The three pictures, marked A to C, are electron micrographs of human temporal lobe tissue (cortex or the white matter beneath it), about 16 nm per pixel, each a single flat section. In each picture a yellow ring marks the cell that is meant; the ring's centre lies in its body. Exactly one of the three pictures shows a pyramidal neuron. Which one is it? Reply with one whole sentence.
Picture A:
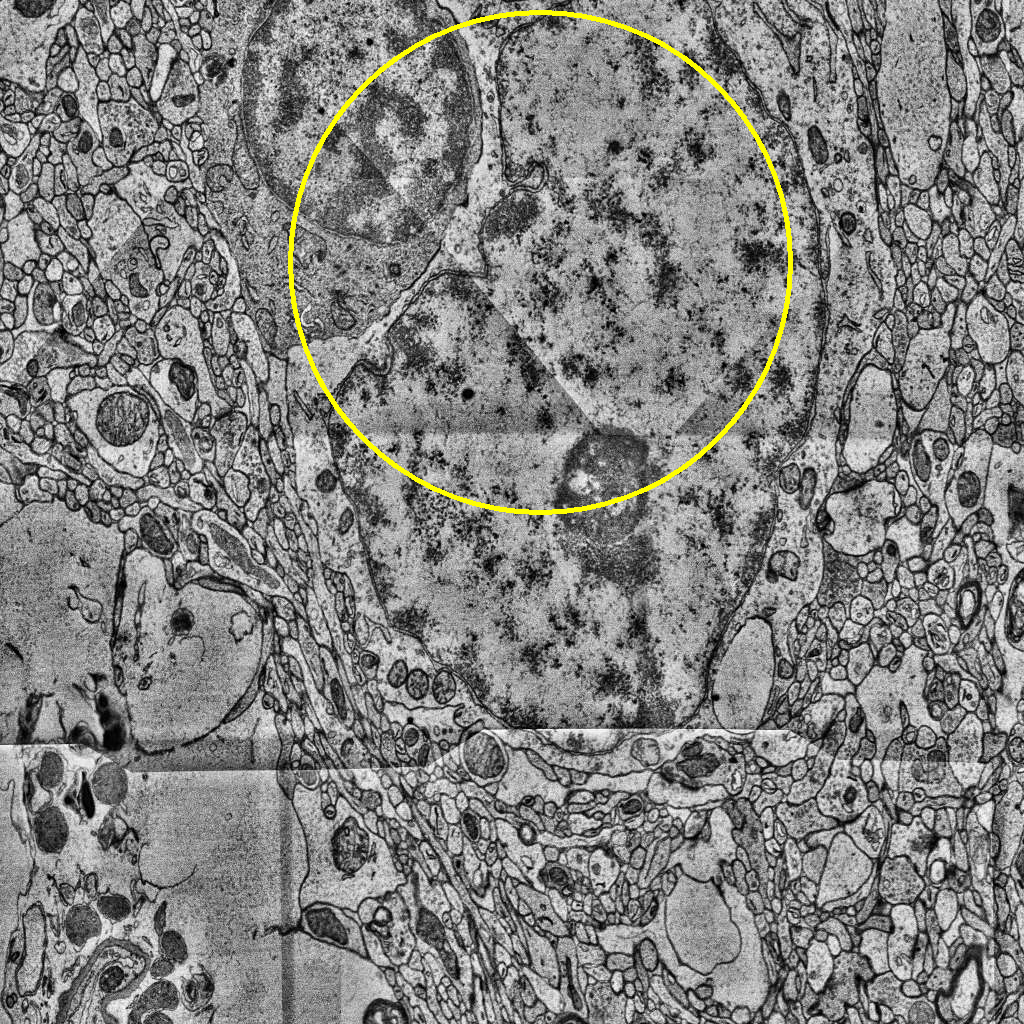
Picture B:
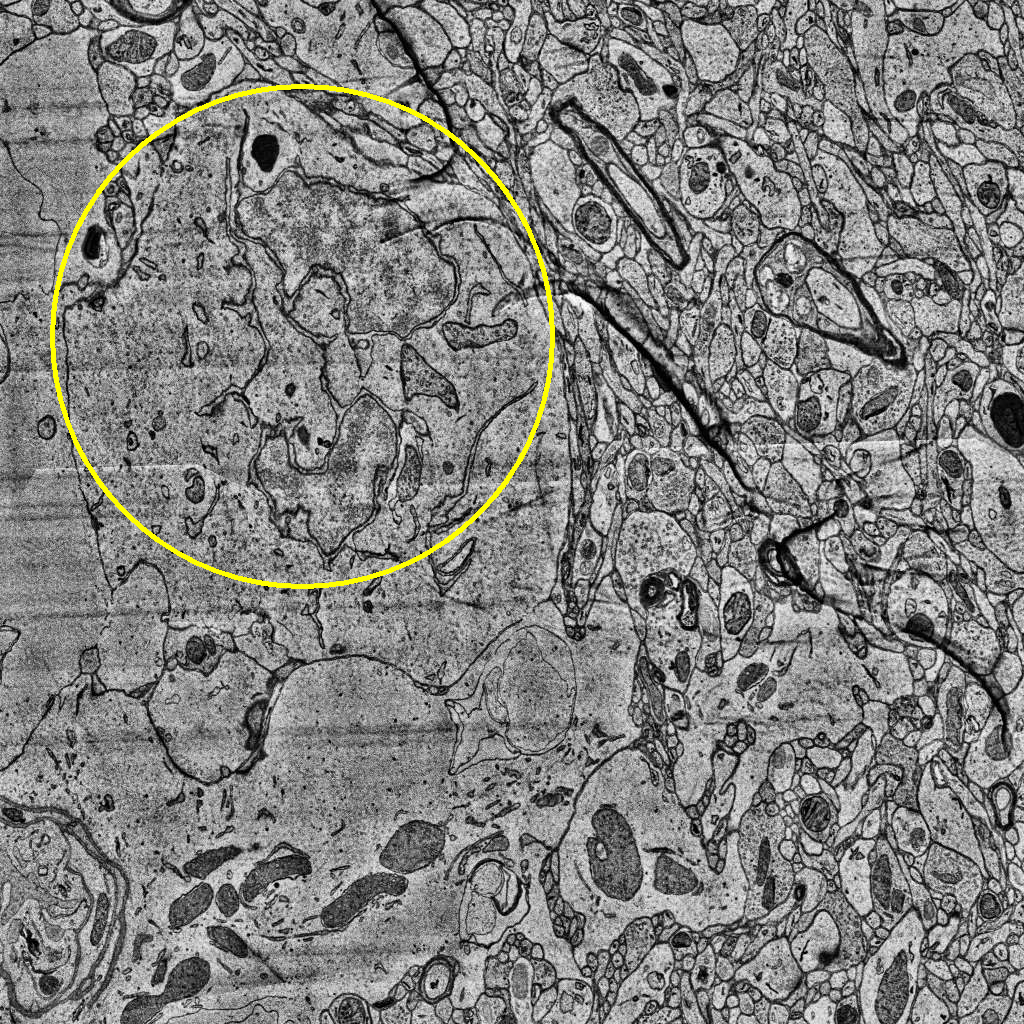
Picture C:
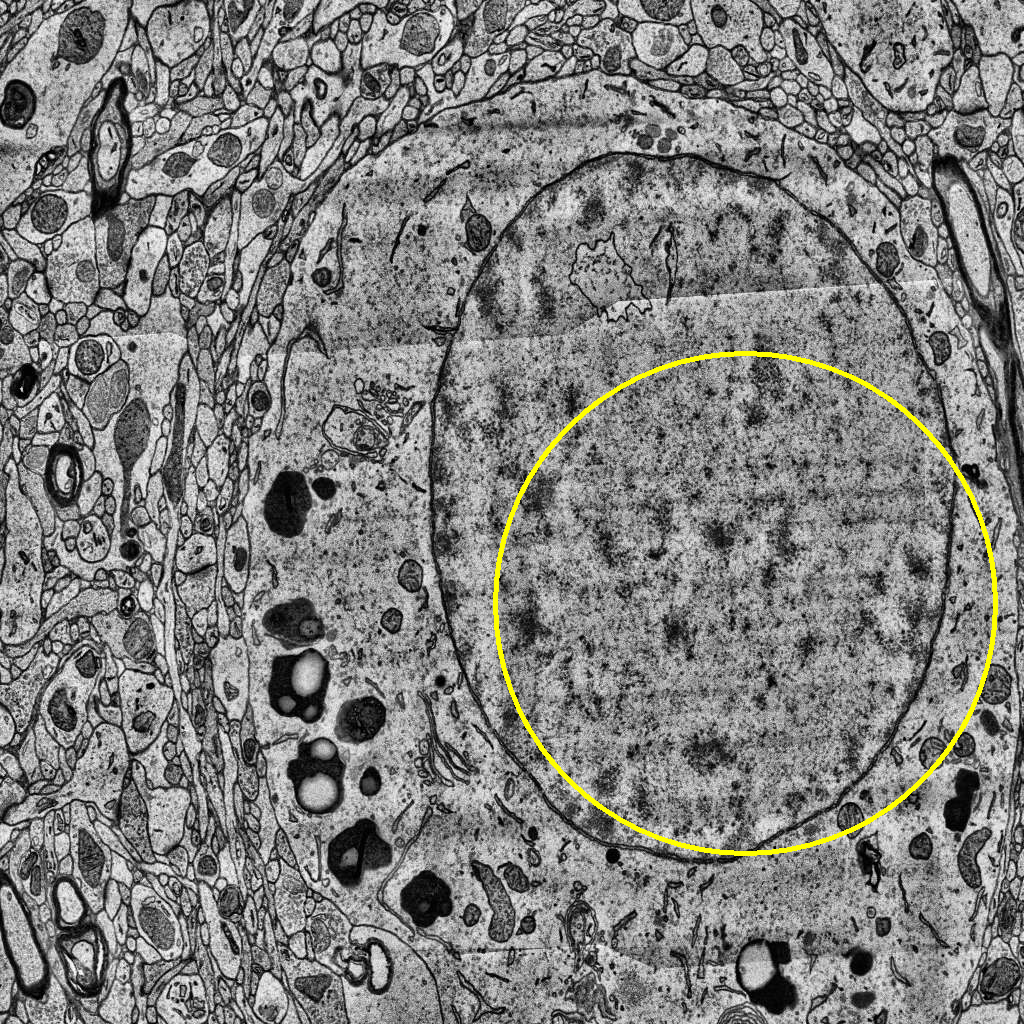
The picture with the pyramidal neuron is C.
